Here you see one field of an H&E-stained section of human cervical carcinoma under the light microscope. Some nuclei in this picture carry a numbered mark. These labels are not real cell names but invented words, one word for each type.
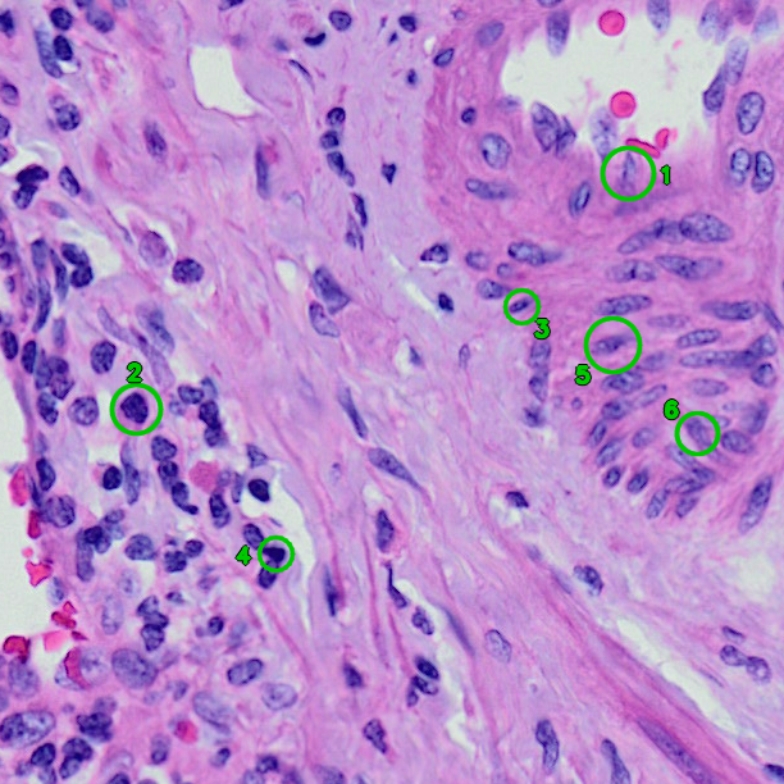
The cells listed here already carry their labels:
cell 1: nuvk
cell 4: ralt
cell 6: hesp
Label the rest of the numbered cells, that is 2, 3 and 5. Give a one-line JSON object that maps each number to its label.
{"2": "ralt", "3": "hesp", "5": "hesp"}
